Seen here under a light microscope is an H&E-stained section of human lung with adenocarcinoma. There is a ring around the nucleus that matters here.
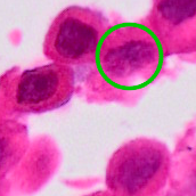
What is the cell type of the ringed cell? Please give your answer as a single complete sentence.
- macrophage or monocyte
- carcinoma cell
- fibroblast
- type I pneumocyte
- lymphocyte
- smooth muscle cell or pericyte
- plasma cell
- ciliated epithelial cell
Placed in its cell category, the ringed cell is a carcinoma cell.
